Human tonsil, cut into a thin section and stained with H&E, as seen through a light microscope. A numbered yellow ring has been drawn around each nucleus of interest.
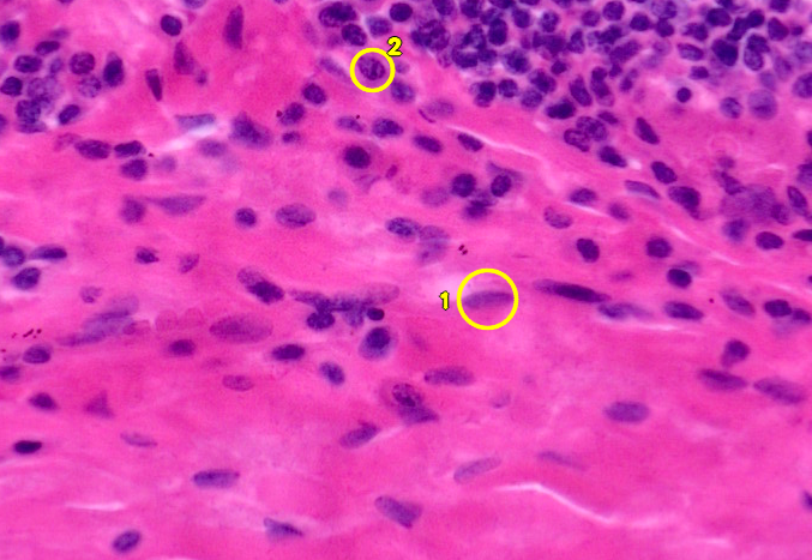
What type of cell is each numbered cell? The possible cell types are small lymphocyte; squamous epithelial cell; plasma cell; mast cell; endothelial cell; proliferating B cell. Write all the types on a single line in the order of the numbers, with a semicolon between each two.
endothelial cell; plasma cell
